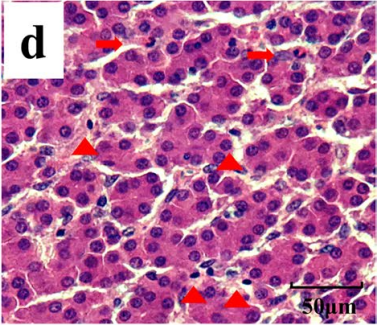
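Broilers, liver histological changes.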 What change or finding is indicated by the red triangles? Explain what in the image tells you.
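Lymphocytes infiltration. Small cells with dense, dark round nuclei lie between the hepatocyte cords.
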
